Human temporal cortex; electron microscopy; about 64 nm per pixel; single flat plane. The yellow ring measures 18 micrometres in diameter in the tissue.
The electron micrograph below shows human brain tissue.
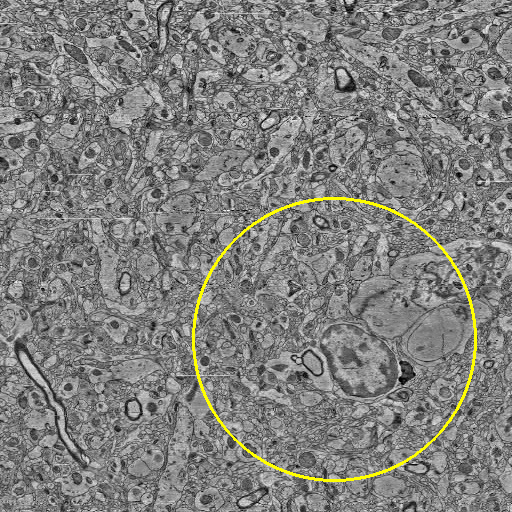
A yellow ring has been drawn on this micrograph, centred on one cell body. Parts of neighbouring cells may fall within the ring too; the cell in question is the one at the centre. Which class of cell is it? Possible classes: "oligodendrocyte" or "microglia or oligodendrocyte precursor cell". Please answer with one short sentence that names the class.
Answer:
In the centre of the ring sits a microglial cell or oligodendrocyte precursor cell.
